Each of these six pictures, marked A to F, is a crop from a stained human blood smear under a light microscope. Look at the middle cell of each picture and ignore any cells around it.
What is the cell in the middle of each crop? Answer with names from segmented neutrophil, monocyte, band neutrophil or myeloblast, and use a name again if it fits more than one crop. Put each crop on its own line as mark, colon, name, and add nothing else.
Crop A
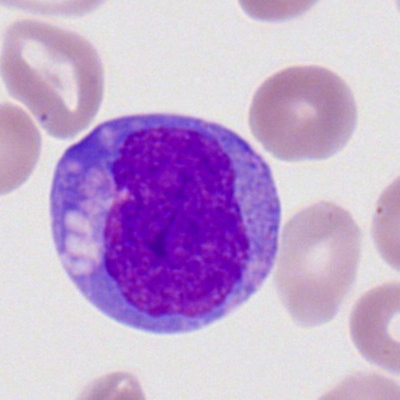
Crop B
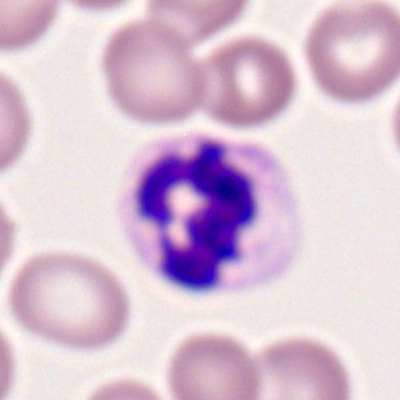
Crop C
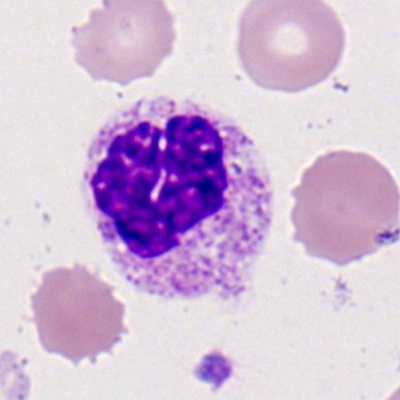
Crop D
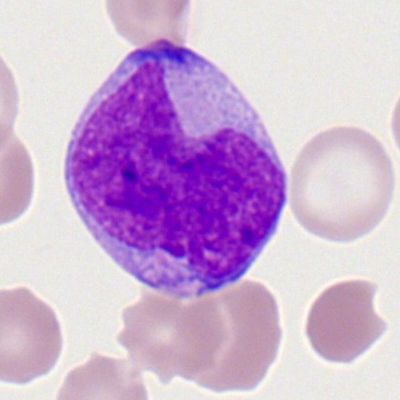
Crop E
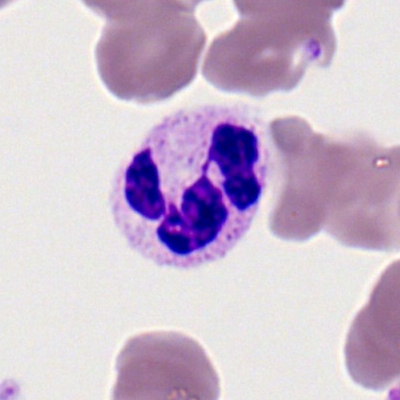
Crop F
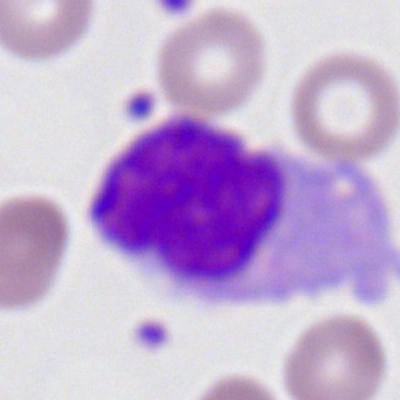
A: myeloblast
B: segmented neutrophil
C: band neutrophil
D: myeloblast
E: segmented neutrophil
F: monocyte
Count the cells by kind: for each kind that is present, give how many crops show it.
myeloblast: 2
segmented neutrophil: 2
band neutrophil: 1
monocyte: 1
